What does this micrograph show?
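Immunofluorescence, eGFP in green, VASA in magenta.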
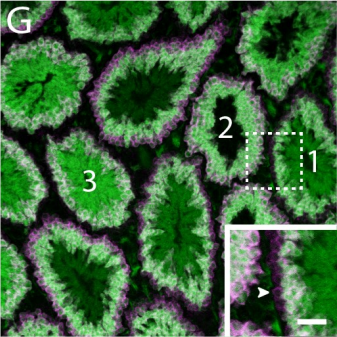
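Cross-sections of seminiferous tubules fill the field, each a thick ring of epithelium around a central lumen. The outermost layer of cells along the tubule wall shows magenta cytoplasm, forming a rim around each tubule. Inward from this rim the many-layered epithelium is filled with green, reaching toward the dark lumen. The amount of magenta at the rim and the brightness of green differ from tubule to tubule. Dark, narrow interstitial spaces separate neighbouring tubules.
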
